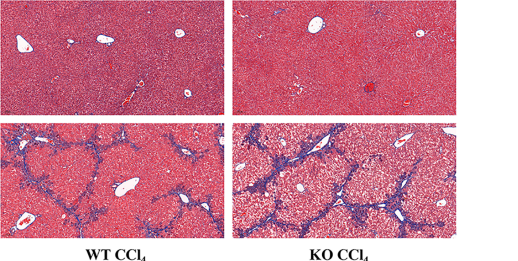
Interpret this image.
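In the upper images the red parenchyma is continuous, with only thin blue rims around the scattered vessels. In the lower images broad blue bands of fibrous tissue run between vessels and join one another, cutting the parenchyma into rounded islands. The islands themselves remain red hepatocyte tissue surrounded by these bridging septa.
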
